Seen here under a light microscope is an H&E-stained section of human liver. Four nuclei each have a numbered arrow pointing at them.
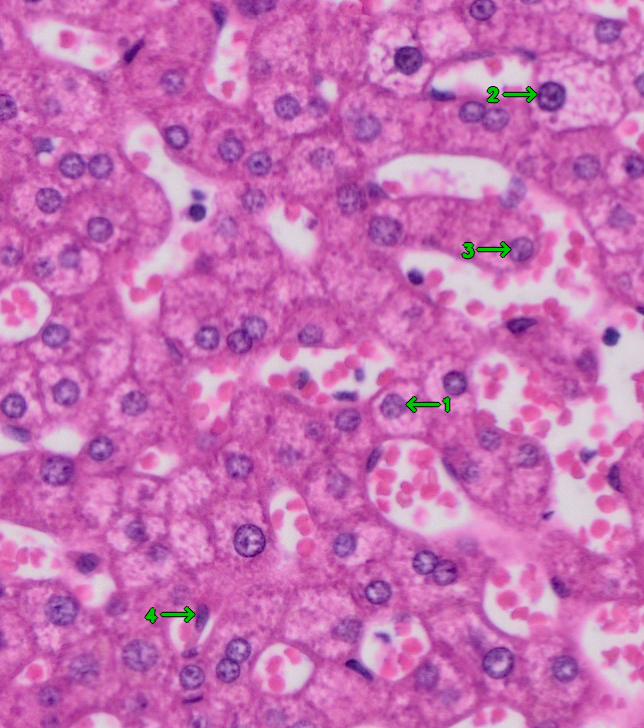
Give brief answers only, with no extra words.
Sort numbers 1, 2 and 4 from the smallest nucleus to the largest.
4, 1, 2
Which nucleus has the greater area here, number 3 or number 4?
3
